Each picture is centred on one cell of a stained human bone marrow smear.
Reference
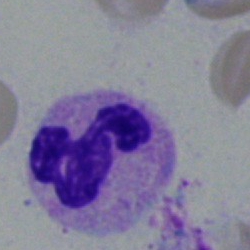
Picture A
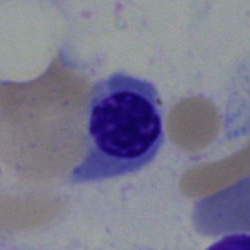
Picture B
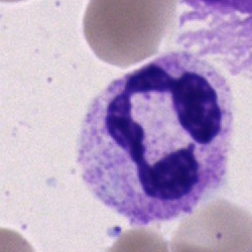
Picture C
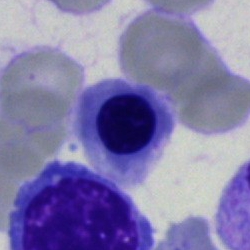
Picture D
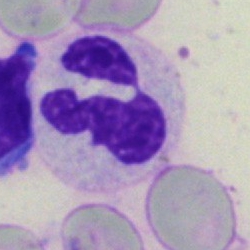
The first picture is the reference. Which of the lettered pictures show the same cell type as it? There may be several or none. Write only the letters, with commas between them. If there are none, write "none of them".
B, D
